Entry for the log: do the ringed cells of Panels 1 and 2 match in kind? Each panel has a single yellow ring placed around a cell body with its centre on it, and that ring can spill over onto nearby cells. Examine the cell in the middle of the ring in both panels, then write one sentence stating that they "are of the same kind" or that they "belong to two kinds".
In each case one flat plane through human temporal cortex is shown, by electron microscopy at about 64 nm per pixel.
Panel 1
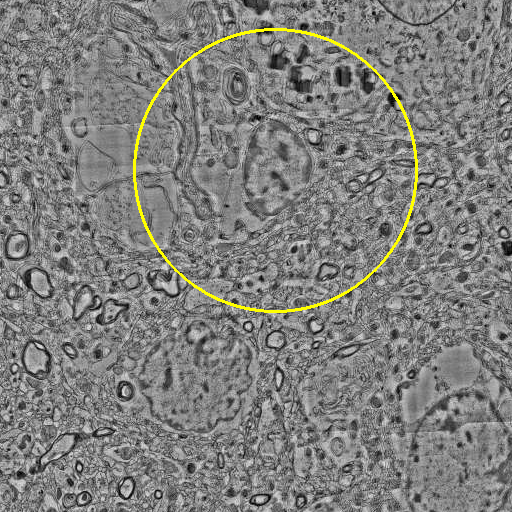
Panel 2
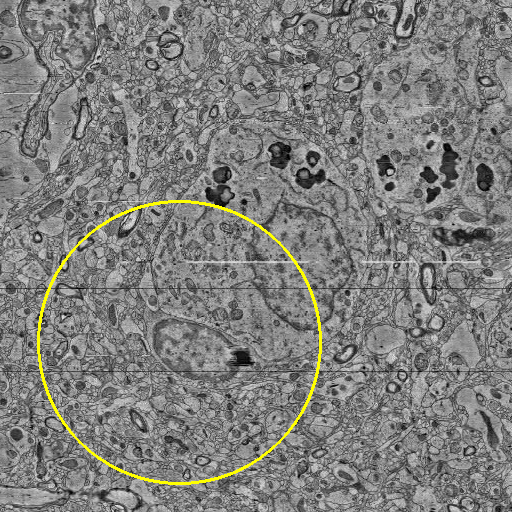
The centre cell of Panel 1's ring and that of Panel 2's ring belong to two kinds.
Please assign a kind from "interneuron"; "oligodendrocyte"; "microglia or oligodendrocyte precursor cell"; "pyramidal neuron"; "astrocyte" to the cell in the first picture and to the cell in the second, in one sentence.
In the first picture we have a microglial cell or oligodendrocyte precursor cell, and in the second, an oligodendrocyte.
